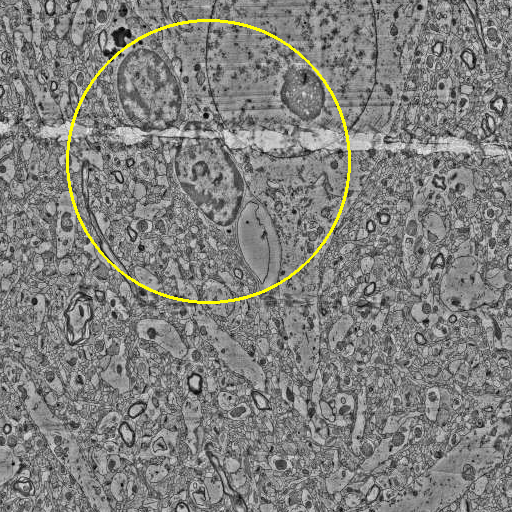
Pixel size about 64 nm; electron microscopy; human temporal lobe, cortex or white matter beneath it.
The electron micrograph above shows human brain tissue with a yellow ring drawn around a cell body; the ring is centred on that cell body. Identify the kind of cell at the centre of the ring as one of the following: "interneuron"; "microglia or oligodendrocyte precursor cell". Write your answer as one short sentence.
The cell at the centre of the ring is a microglial cell or oligodendrocyte precursor cell.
